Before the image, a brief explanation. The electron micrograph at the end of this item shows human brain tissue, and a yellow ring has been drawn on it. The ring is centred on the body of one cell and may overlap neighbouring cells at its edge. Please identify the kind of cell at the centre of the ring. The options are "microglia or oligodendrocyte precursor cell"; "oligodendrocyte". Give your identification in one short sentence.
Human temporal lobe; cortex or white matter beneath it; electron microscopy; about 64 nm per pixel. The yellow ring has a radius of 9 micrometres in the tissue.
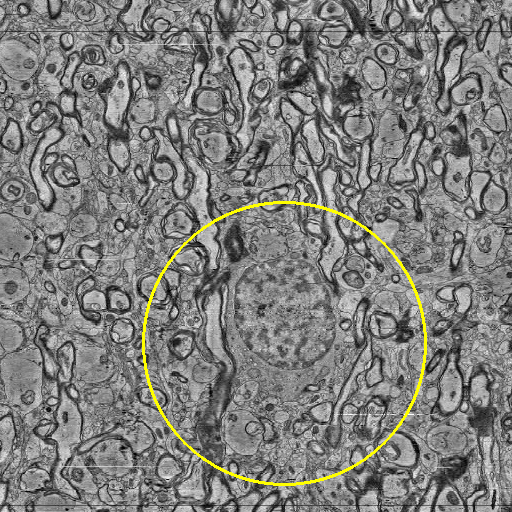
The ring has been placed around an oligodendrocyte.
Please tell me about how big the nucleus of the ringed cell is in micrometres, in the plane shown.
About 7 micrometers across, in this plane.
